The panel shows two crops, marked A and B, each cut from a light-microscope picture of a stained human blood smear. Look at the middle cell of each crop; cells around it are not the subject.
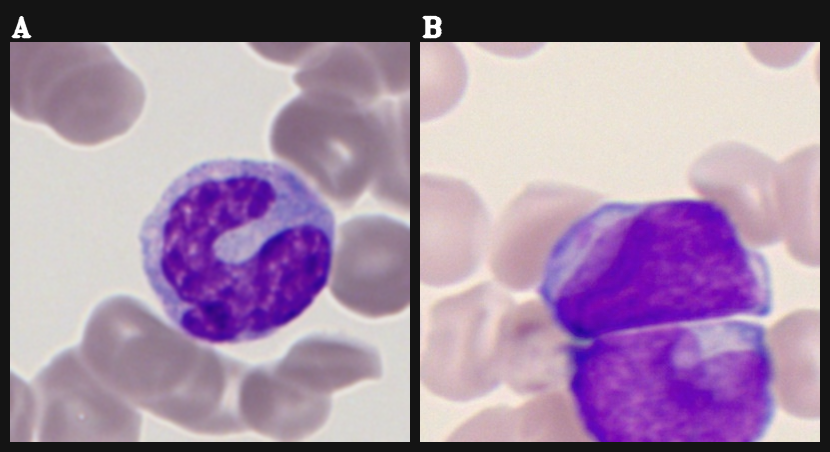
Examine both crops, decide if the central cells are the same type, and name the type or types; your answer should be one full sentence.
No, it is a monocyte that crop A shows, and a myeloblast that crop B shows.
